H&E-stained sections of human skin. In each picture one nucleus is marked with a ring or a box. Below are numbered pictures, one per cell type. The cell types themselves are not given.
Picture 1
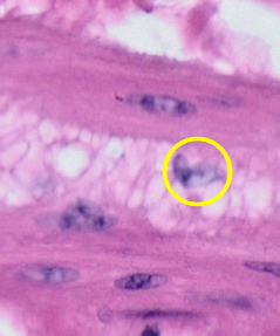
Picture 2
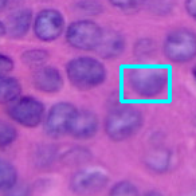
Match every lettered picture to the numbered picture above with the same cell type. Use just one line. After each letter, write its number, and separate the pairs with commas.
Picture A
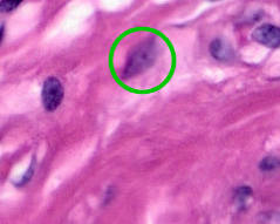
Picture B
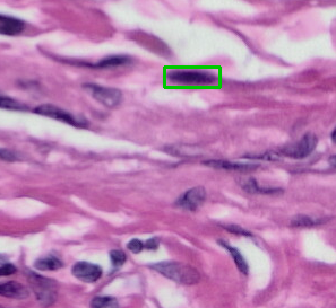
A 1, B 1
